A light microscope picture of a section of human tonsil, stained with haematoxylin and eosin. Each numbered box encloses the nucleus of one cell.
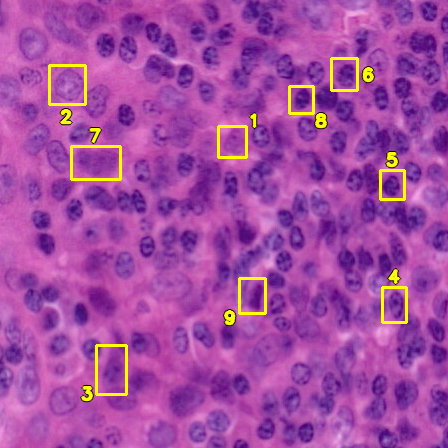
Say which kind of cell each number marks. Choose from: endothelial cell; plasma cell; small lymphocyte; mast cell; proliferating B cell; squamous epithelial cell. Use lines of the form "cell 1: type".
cell 1: squamous epithelial cell
cell 2: squamous epithelial cell
cell 3: squamous epithelial cell
cell 4: plasma cell
cell 5: plasma cell
cell 6: plasma cell
cell 7: squamous epithelial cell
cell 8: plasma cell
cell 9: squamous epithelial cell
